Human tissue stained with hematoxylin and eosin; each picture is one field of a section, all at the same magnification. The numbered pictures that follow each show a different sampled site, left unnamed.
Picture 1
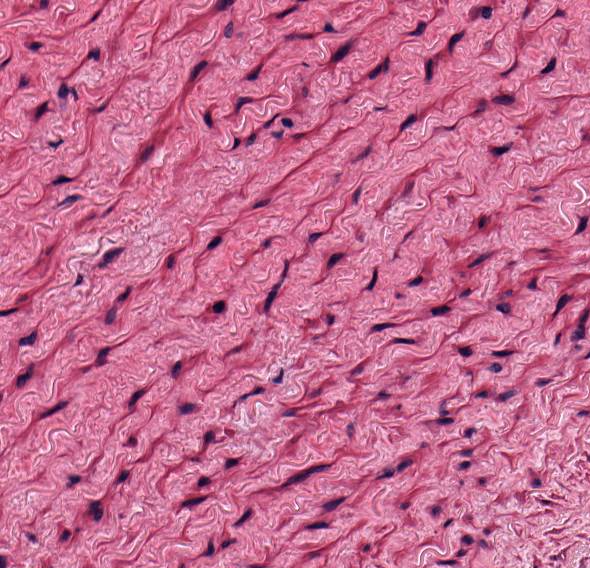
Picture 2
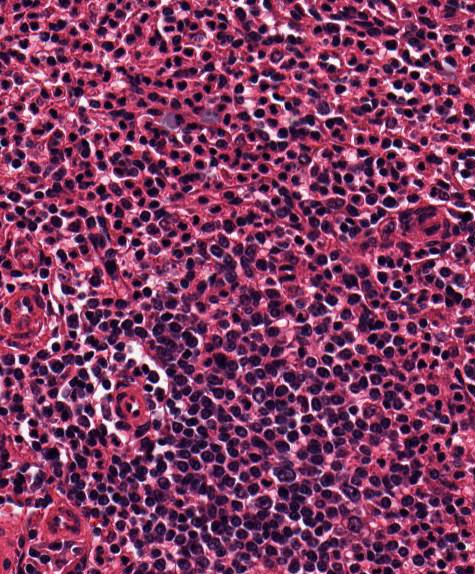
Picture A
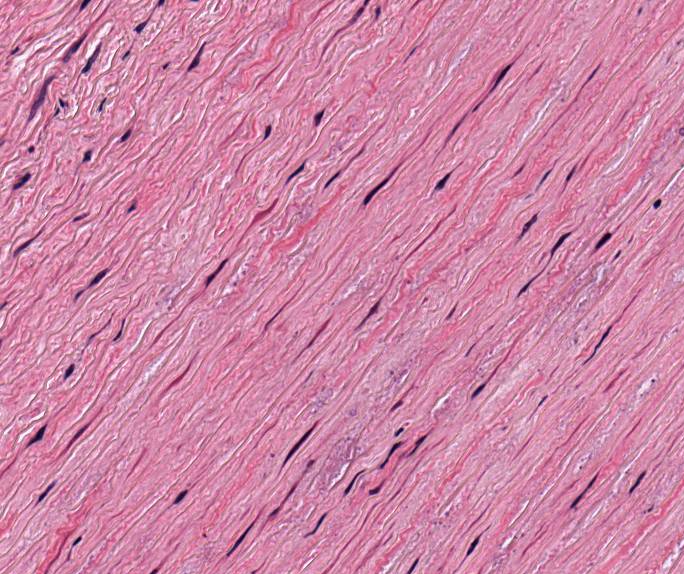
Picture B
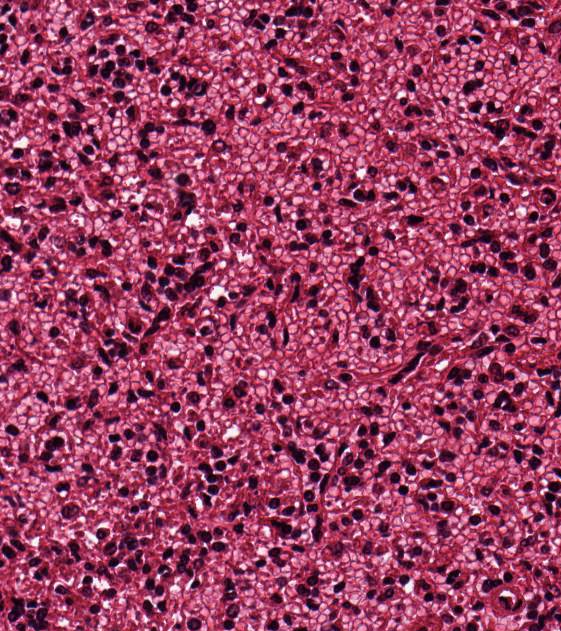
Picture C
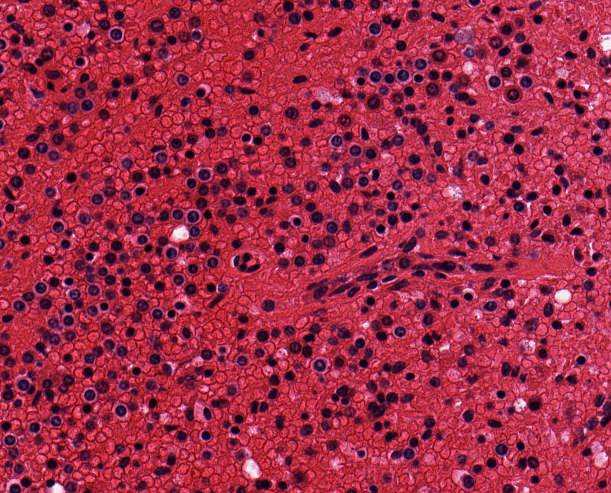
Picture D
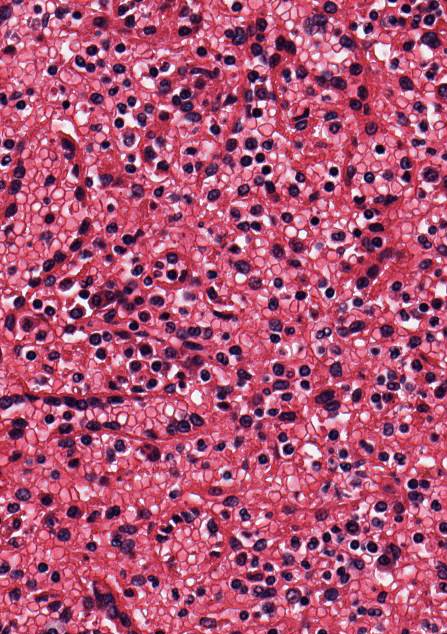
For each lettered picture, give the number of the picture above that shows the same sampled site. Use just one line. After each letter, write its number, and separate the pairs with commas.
A 1, B 2, C 2, D 2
